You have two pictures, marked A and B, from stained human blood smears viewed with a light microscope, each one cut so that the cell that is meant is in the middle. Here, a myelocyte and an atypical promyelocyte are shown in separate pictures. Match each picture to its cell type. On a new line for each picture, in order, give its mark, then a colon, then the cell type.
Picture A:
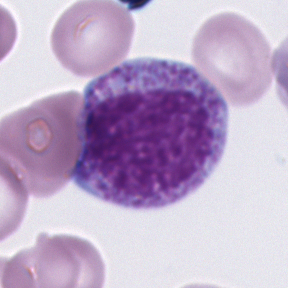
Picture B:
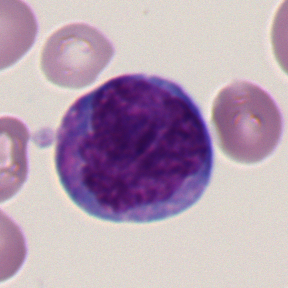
A: myelocyte
B: atypical promyelocyte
